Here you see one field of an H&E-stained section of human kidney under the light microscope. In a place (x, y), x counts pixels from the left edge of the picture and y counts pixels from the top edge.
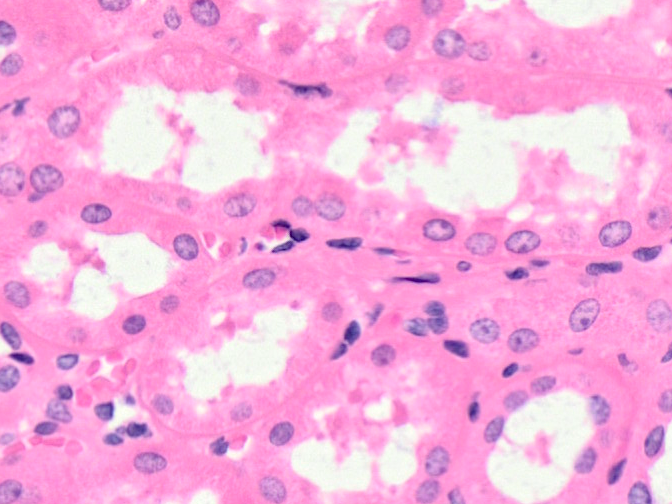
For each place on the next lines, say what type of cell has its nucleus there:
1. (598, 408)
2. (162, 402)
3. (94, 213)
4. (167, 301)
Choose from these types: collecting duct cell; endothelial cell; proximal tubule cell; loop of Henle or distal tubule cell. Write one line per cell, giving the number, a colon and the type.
1: loop of Henle or distal tubule cell
2: proximal tubule cell
3: proximal tubule cell
4: proximal tubule cell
